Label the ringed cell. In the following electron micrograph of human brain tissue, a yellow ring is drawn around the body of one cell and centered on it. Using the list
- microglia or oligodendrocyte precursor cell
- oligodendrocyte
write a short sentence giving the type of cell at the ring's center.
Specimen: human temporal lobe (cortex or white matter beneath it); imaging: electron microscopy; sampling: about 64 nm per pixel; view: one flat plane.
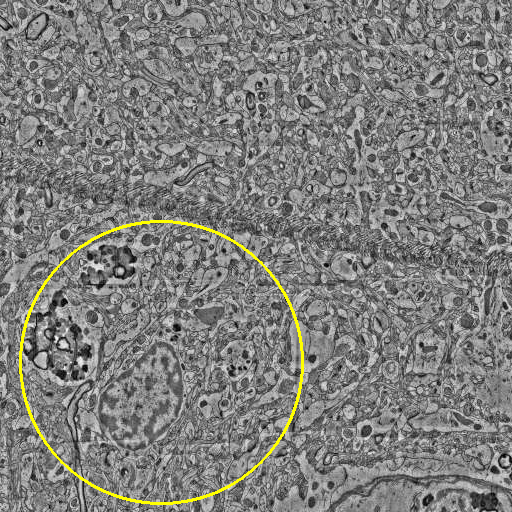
The cell body at the ring's center is that of a microglial cell or oligodendrocyte precursor cell.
